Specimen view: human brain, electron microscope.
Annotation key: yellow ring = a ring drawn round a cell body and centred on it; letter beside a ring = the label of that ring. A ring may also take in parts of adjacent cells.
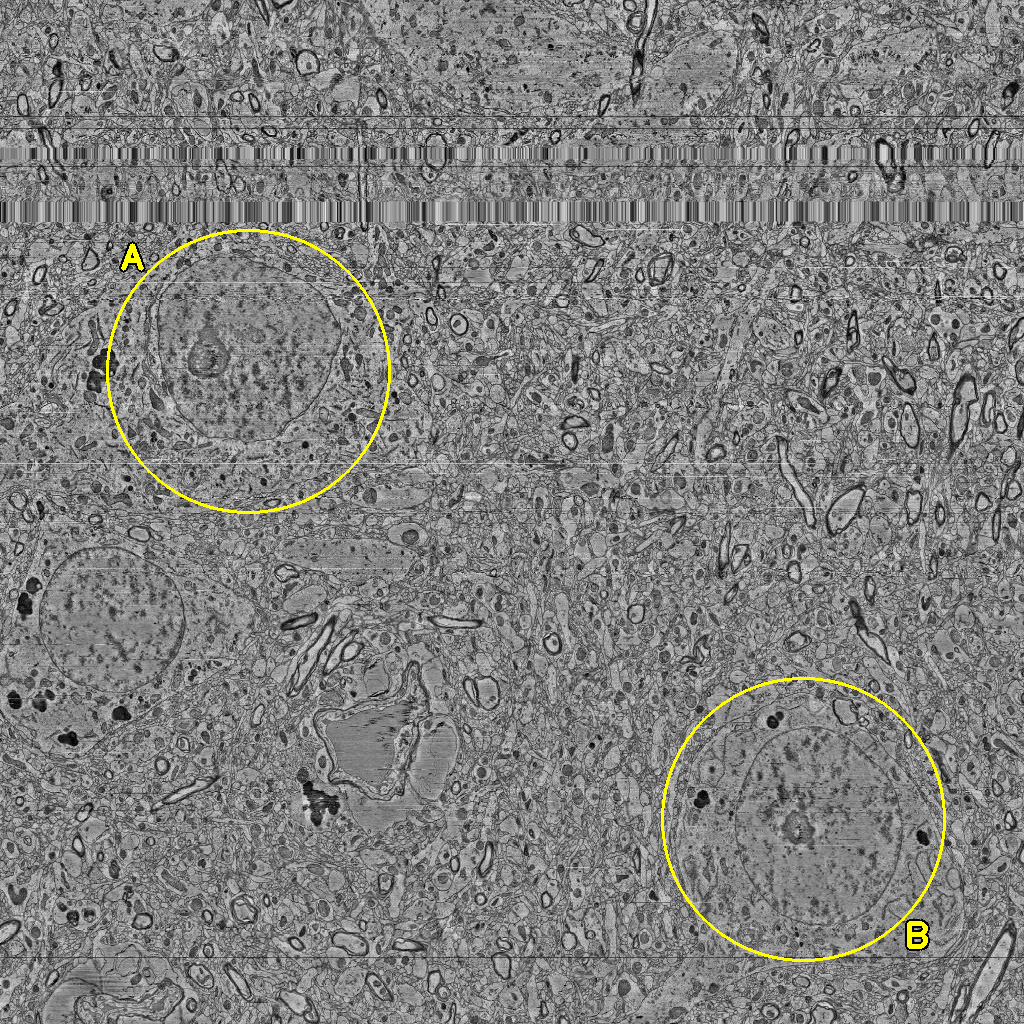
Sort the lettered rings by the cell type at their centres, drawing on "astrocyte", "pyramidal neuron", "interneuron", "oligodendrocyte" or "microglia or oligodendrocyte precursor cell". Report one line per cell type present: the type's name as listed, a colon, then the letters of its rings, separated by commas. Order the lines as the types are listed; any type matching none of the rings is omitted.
pyramidal neuron: B
interneuron: A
